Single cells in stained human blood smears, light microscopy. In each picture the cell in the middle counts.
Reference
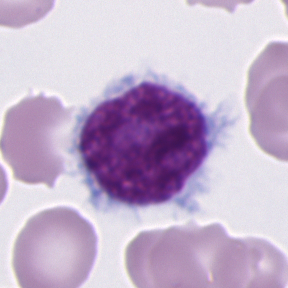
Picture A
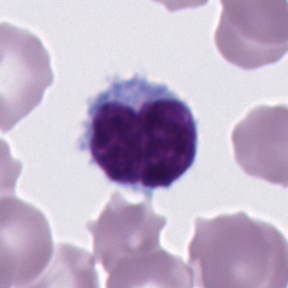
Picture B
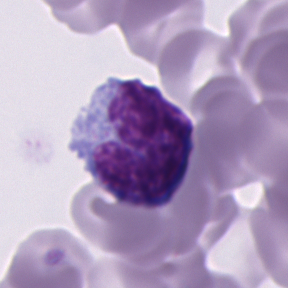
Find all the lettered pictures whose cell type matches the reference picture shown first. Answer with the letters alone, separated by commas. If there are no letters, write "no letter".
A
